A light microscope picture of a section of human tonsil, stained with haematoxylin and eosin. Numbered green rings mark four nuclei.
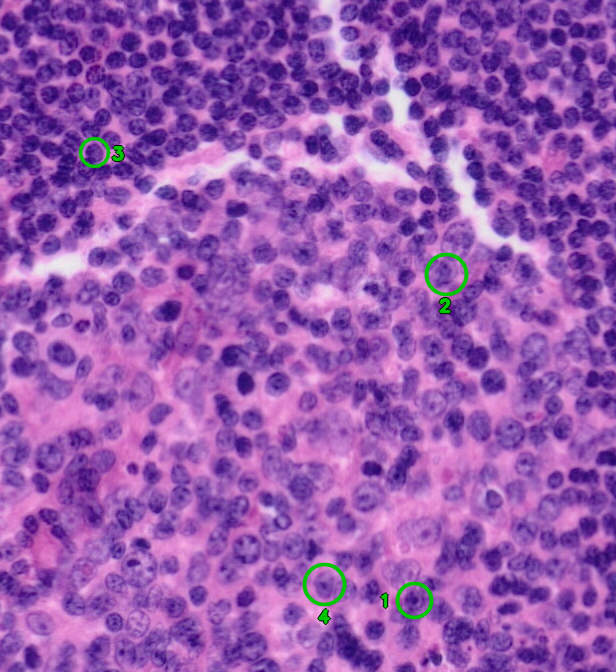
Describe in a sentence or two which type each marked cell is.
Cell 1 is a proliferating B cell, cell 2 is a proliferating B cell, cell 3 is a small lymphocyte and cell 4 is a proliferating B cell.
